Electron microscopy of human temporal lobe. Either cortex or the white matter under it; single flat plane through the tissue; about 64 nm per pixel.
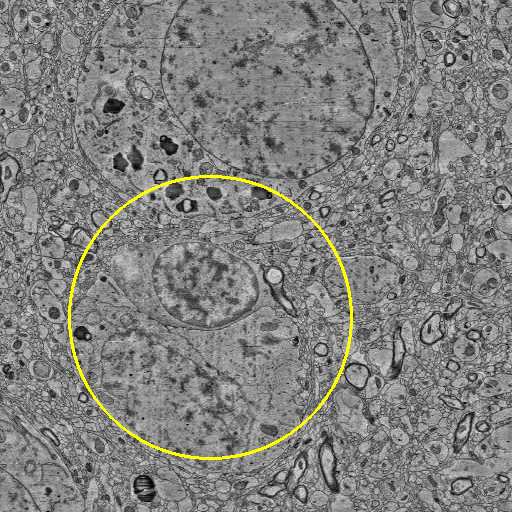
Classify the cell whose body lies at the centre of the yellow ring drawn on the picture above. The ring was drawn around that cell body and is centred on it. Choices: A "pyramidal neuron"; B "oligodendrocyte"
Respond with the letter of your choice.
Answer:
B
